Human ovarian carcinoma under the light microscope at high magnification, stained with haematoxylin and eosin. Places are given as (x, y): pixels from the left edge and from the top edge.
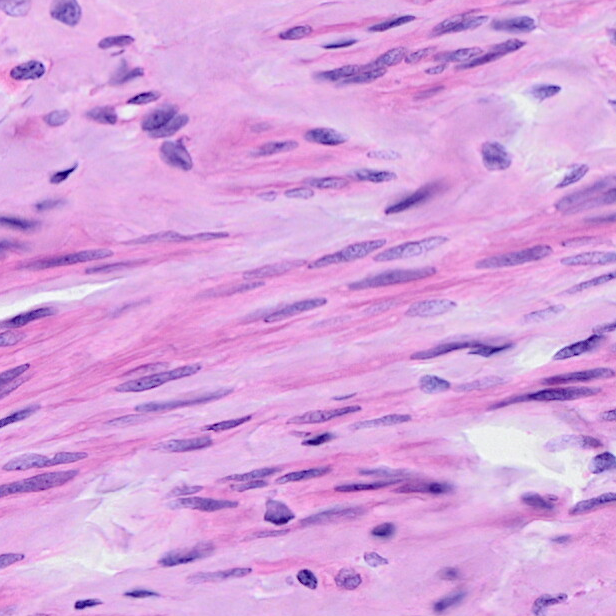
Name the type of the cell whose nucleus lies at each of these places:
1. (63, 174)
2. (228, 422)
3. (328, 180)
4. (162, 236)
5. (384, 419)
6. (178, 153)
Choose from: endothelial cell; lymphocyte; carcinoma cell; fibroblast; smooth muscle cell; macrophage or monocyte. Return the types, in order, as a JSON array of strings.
["fibroblast", "smooth muscle cell", "smooth muscle cell", "smooth muscle cell", "smooth muscle cell", "fibroblast"]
